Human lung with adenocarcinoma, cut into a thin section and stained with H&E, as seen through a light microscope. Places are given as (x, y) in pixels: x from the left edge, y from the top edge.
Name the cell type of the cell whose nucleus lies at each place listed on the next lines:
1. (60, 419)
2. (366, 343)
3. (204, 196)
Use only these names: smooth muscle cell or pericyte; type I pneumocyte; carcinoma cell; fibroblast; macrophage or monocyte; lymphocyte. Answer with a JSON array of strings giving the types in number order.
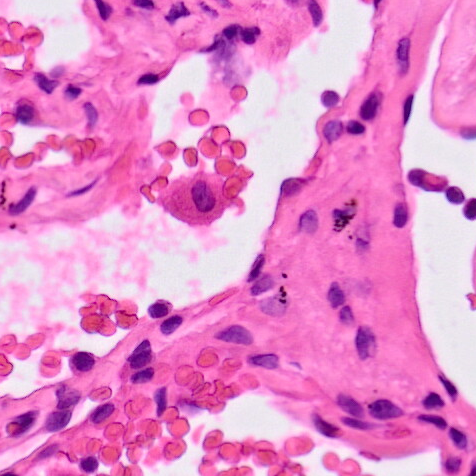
["type I pneumocyte", "fibroblast", "macrophage or monocyte"]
